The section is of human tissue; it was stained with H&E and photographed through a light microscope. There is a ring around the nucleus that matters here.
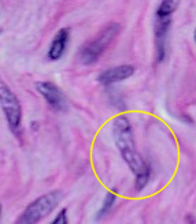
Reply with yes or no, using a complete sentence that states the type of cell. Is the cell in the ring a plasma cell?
No, the cell in the ring is not to be called a plasma cell; it is a smooth muscle cell.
